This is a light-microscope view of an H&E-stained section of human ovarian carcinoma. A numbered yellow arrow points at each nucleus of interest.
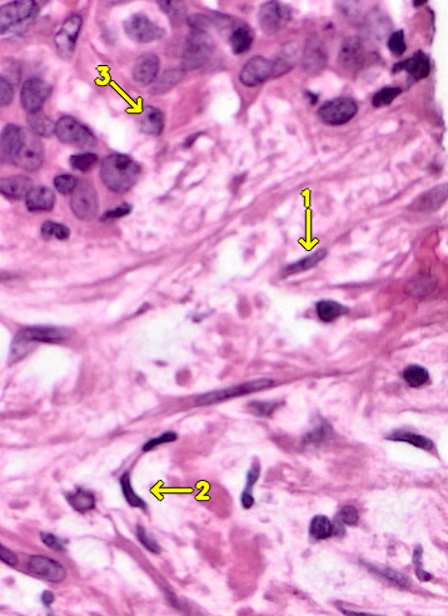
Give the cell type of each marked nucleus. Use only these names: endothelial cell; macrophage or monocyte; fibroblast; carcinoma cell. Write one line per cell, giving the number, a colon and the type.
1: fibroblast
2: fibroblast
3: macrophage or monocyte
